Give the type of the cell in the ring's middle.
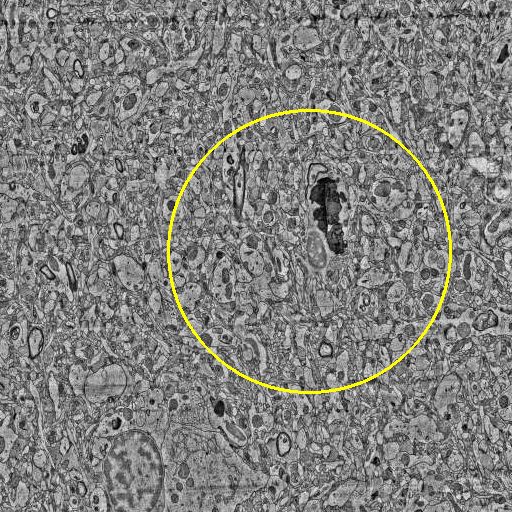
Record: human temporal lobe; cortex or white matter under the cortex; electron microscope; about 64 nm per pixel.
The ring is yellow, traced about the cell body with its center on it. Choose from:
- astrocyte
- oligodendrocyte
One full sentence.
Here, an oligodendrocyte is the cell lying at the center of the yellow ring.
